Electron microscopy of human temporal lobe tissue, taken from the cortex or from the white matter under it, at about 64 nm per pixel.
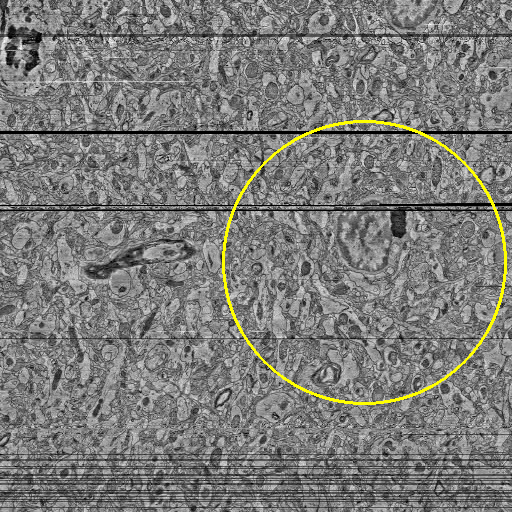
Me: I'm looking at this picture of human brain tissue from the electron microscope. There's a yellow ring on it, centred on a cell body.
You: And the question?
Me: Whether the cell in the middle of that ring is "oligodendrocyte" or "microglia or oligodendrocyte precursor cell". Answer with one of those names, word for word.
oligodendrocyte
